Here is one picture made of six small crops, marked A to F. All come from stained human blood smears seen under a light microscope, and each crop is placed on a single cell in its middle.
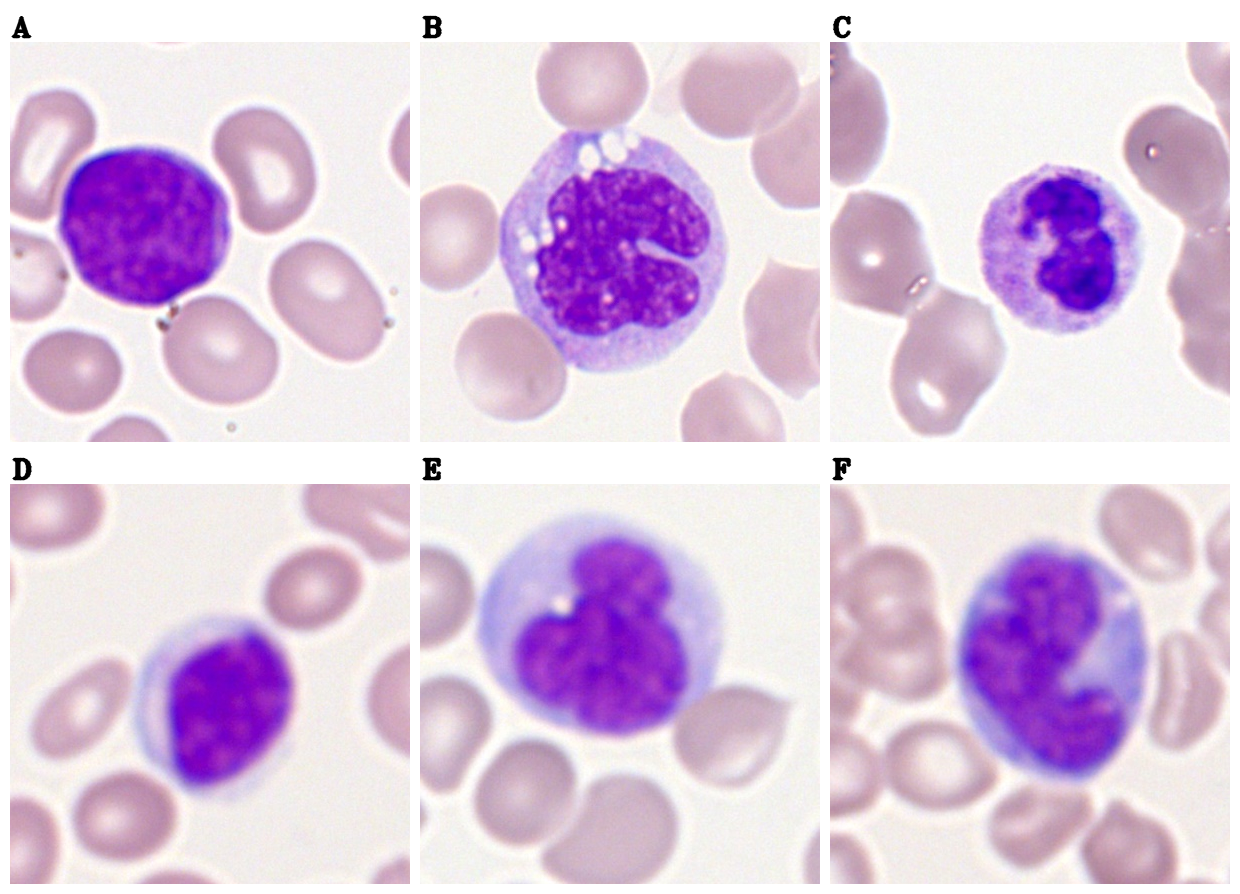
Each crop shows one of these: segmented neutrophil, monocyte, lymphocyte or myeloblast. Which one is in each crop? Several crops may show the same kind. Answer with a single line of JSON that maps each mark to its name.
{"A": "myeloblast", "B": "monocyte", "C": "segmented neutrophil", "D": "lymphocyte", "E": "monocyte", "F": "monocyte"}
